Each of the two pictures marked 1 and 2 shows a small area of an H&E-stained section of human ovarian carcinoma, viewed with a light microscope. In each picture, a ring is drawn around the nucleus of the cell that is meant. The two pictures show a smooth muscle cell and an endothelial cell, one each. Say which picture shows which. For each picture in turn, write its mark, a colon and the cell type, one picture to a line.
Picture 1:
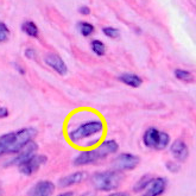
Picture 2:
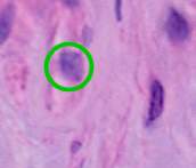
1: smooth muscle cell
2: endothelial cell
